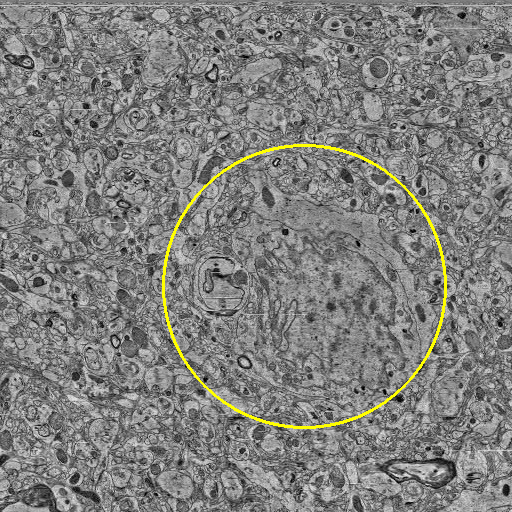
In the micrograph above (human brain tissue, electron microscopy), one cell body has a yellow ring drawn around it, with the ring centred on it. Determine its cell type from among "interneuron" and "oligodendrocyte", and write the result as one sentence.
The cell whose body is ringed is an interneuron.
